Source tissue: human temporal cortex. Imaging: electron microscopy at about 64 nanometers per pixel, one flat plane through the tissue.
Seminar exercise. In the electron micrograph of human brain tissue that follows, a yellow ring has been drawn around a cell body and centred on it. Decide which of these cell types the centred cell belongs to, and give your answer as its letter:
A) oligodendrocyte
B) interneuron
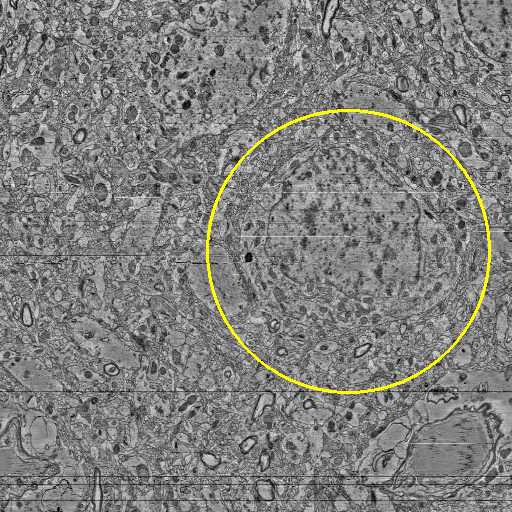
B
